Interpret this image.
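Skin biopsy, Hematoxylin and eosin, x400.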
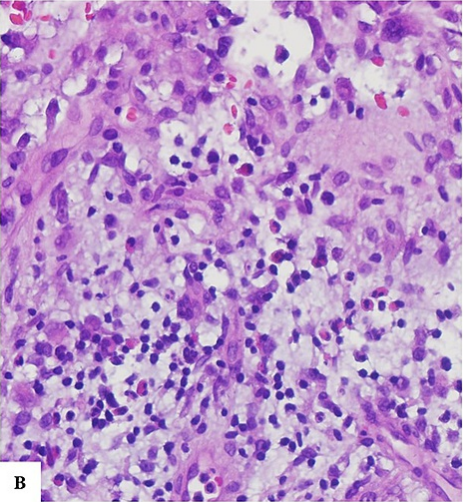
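At high magnification the field is packed with a mixed infiltrate in a pale, loose, partly vacuolated background. The larger cells have abundant pale pink cytoplasm and oval nuclei that are folded or indented, giving a kidney-like shape. Among them lie many small cells with dark, compact nuclei, some lobed, and scattered red blood cells. A few thin pink strands of stroma cross the field. This is an infiltrate of cells with eosinophilic cytoplasm and reniform nuclei in the dermis.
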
